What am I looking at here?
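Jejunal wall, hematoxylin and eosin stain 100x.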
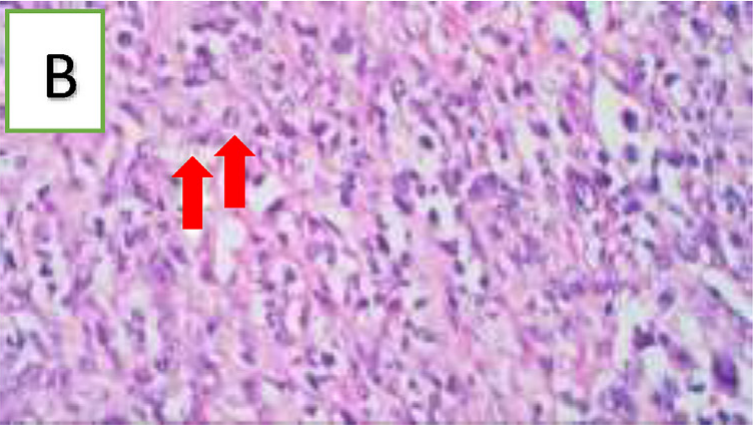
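This high-power view shows a dense sheet of large neoplastic cells replacing the normal tissue. The nuclei are purple and markedly pleomorphic, varying in size and shape from rounded to elongated and irregular. The cells lie crowded together with little intervening stroma, separated in places by small clear spaces. Scattered cells show darker, more condensed nuclear material, consistent with cells in division.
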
